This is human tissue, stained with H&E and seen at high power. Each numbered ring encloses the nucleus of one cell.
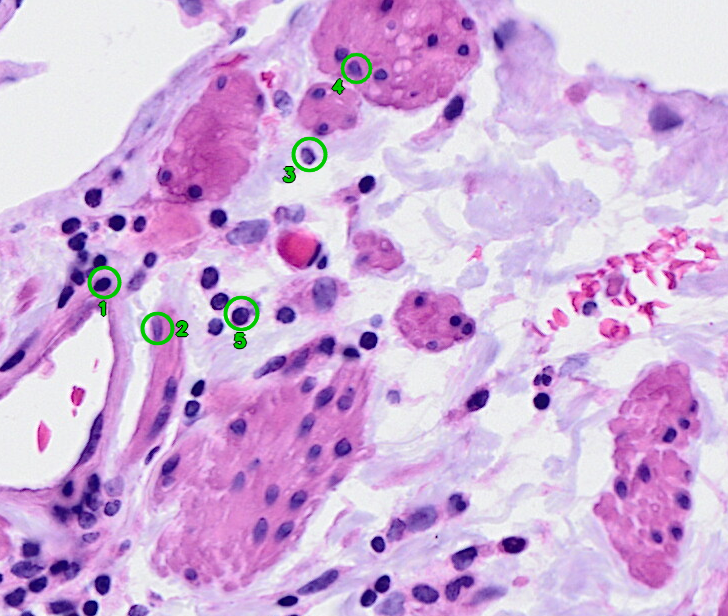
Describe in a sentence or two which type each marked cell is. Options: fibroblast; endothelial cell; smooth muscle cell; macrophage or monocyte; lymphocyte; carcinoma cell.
Cell 1 is a lymphocyte, cell 2 is a smooth muscle cell, cell 3 is a lymphocyte, cell 4 is a smooth muscle cell and cell 5 is a lymphocyte.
